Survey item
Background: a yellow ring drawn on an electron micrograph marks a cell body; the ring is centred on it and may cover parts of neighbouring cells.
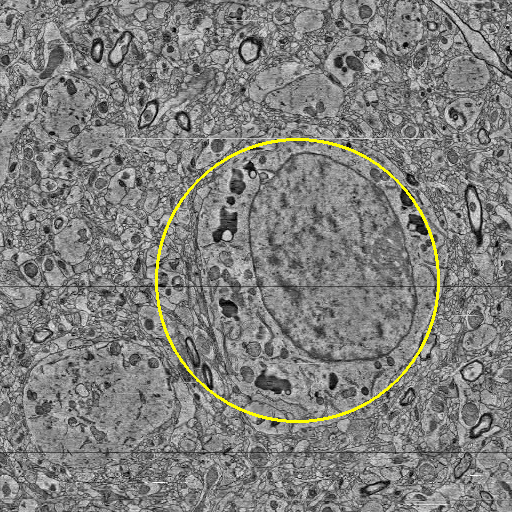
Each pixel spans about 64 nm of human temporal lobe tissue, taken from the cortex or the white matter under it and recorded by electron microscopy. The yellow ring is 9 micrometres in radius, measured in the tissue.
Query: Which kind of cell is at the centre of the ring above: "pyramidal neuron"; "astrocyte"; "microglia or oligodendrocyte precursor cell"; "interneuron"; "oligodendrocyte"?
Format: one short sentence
The cell in the middle of the ring is an interneuron.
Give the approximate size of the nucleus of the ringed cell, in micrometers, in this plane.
The nucleus has a long axis of about 14 micrometres and a short axis of about 10 micrometres in this plane.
